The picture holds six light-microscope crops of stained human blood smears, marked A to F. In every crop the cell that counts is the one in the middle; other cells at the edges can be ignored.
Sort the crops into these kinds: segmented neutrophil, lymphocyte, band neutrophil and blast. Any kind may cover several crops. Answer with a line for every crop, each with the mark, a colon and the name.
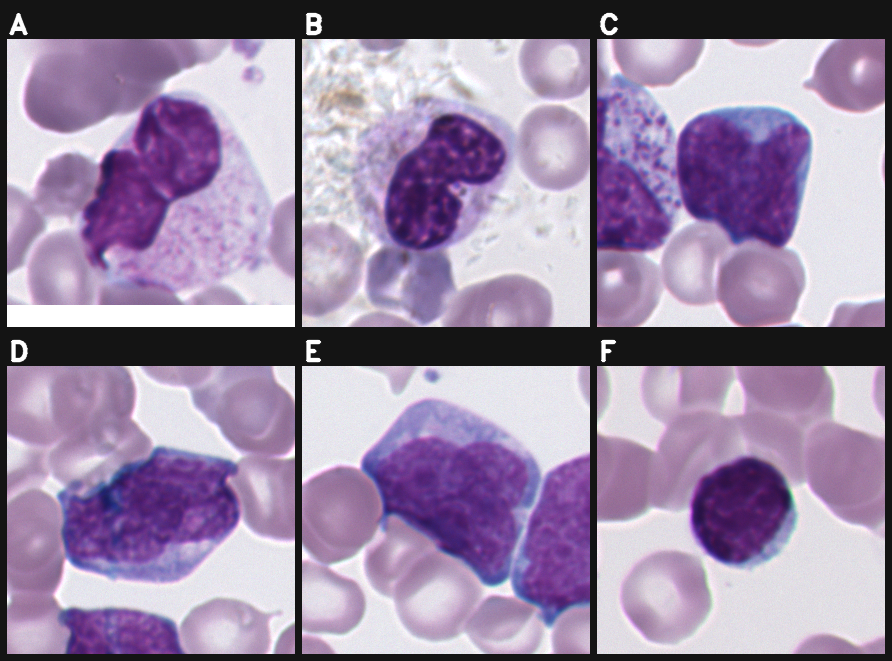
A: segmented neutrophil
B: band neutrophil
C: blast
D: blast
E: blast
F: lymphocyte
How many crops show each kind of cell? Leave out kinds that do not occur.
blast: 3
segmented neutrophil: 1
band neutrophil: 1
lymphocyte: 1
